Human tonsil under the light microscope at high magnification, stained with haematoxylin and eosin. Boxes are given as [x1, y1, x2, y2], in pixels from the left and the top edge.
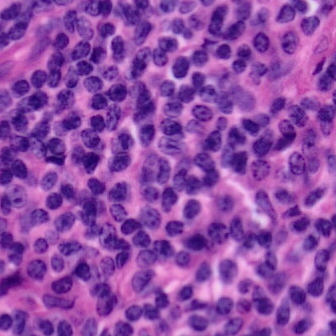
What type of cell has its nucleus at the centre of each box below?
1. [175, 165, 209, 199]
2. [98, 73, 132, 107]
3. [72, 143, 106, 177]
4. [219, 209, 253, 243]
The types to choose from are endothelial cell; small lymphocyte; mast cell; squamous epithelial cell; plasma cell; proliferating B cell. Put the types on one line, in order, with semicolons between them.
small lymphocyte; small lymphocyte; small lymphocyte; plasma cell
